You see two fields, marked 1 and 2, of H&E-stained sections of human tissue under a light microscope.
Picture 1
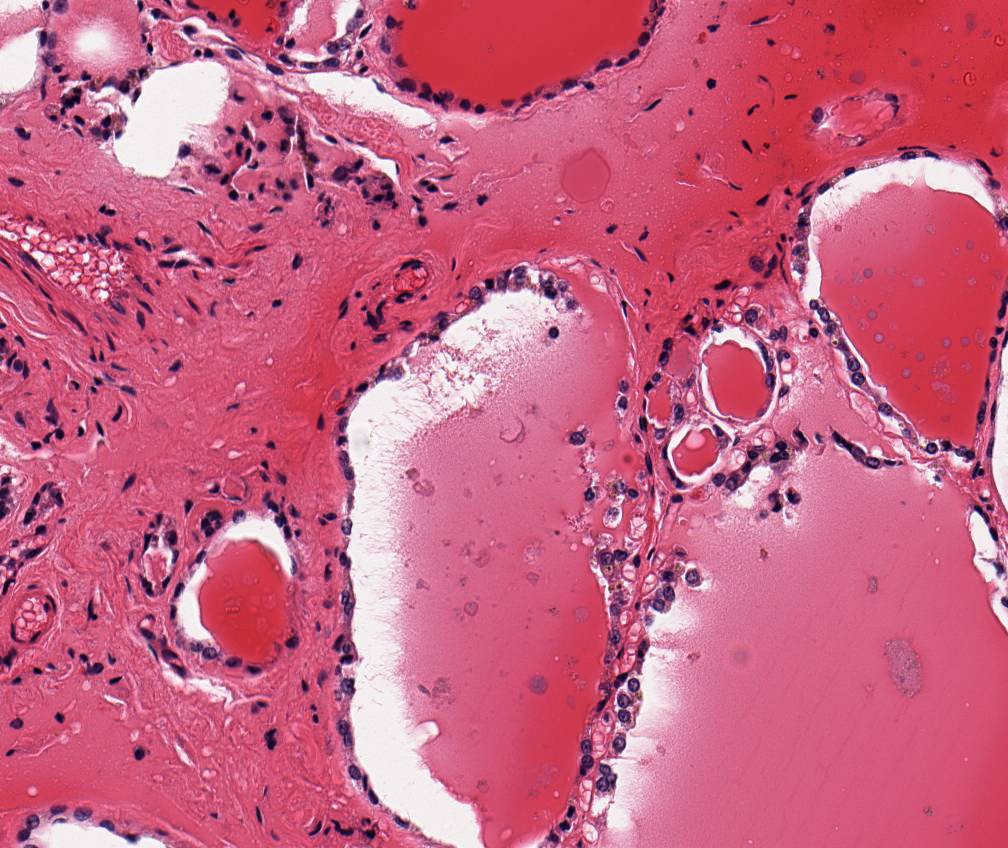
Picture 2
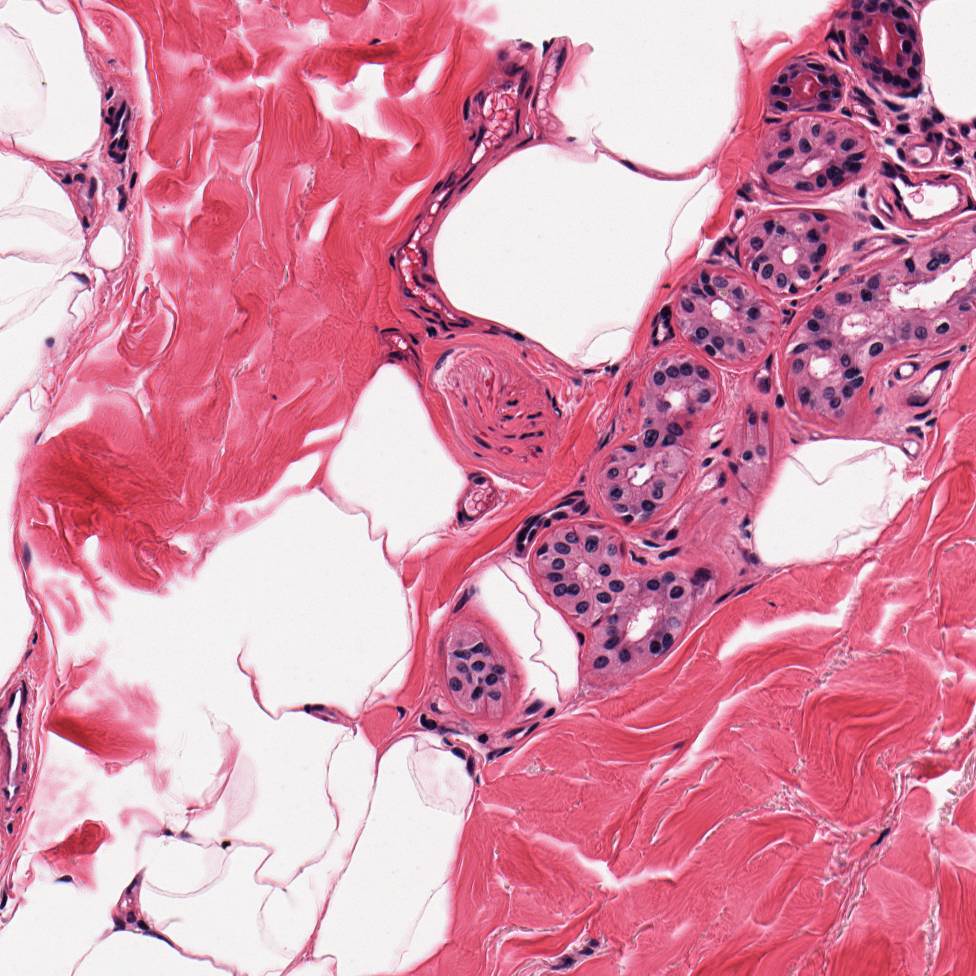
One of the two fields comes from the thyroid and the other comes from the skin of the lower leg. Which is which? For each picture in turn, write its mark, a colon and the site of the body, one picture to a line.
1: thyroid
2: skin of the lower leg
